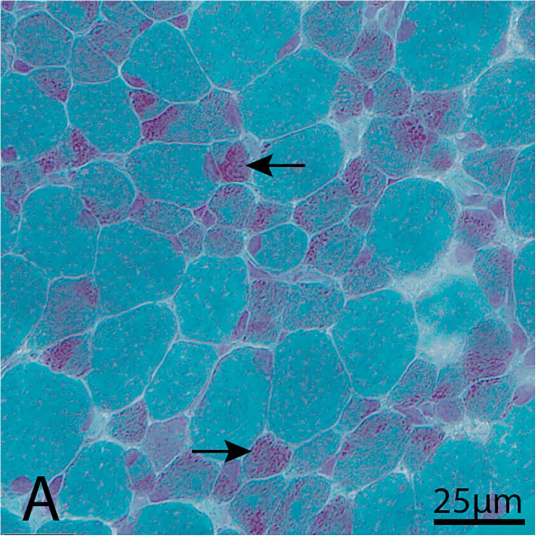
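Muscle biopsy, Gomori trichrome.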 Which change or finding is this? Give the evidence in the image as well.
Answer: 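Increased fiber size variability. Large rounded fibers lie beside many much smaller fibers. Fiber diameters vary widely across the field.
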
